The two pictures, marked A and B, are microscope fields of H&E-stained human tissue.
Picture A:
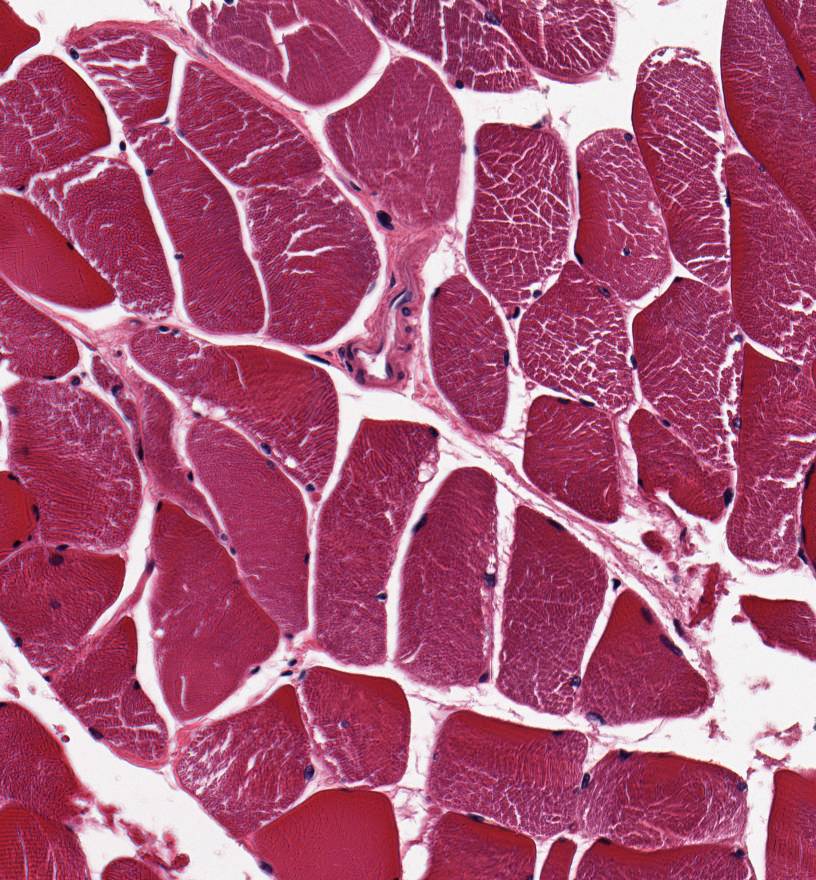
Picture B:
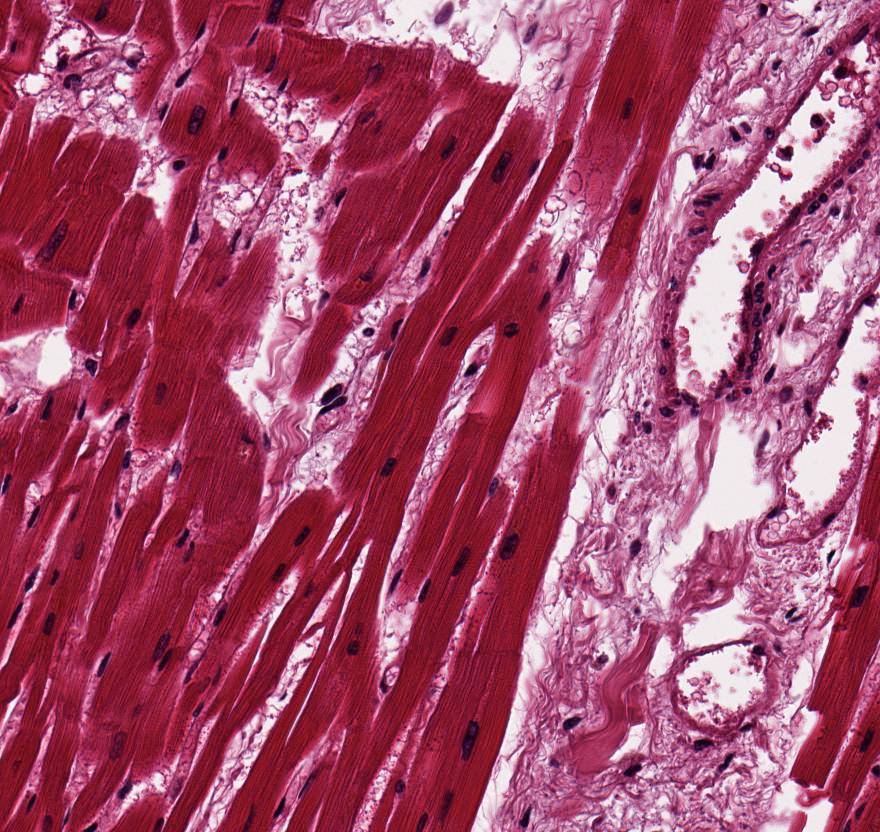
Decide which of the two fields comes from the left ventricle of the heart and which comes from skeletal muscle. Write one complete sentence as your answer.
Picture A comes from skeletal muscle and picture B comes from the left ventricle of the heart.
